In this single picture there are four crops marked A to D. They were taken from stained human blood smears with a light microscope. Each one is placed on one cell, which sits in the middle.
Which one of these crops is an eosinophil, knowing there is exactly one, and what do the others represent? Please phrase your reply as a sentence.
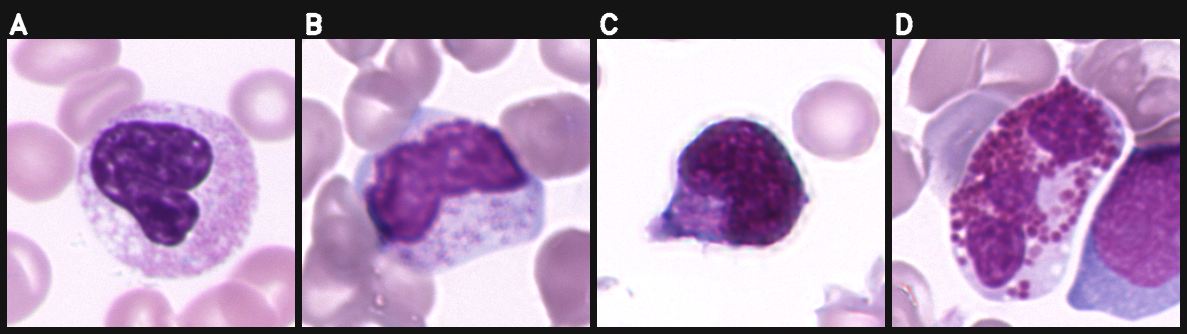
In crop D, the cell at the centre is an eosinophil, while crop A is a segmented neutrophil, crop B is a myelocyte and crop C is an atypical promyelocyte.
